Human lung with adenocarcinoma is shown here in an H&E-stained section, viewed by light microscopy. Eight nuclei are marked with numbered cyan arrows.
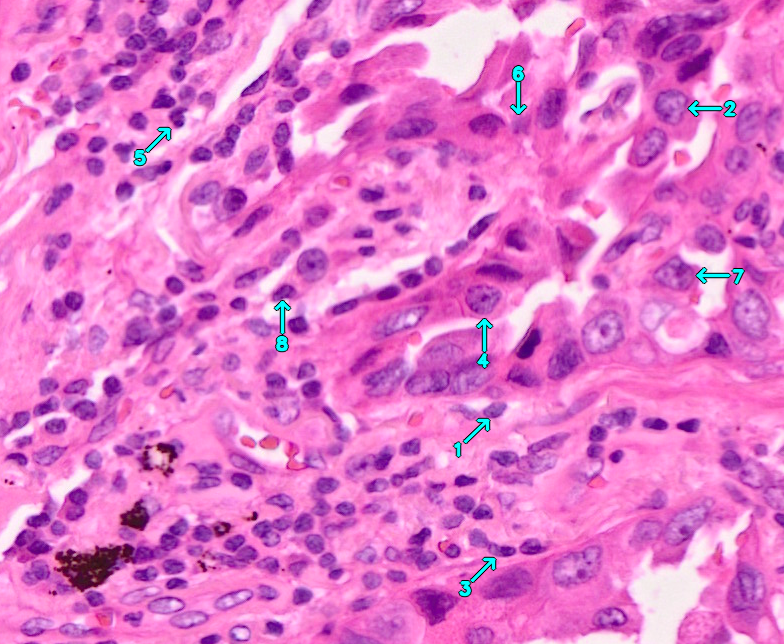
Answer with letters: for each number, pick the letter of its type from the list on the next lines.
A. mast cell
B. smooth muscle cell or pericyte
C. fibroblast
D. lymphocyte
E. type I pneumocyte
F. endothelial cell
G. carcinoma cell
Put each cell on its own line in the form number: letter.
1: D
2: G
3: D
4: G
5: D
6: G
7: G
8: D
